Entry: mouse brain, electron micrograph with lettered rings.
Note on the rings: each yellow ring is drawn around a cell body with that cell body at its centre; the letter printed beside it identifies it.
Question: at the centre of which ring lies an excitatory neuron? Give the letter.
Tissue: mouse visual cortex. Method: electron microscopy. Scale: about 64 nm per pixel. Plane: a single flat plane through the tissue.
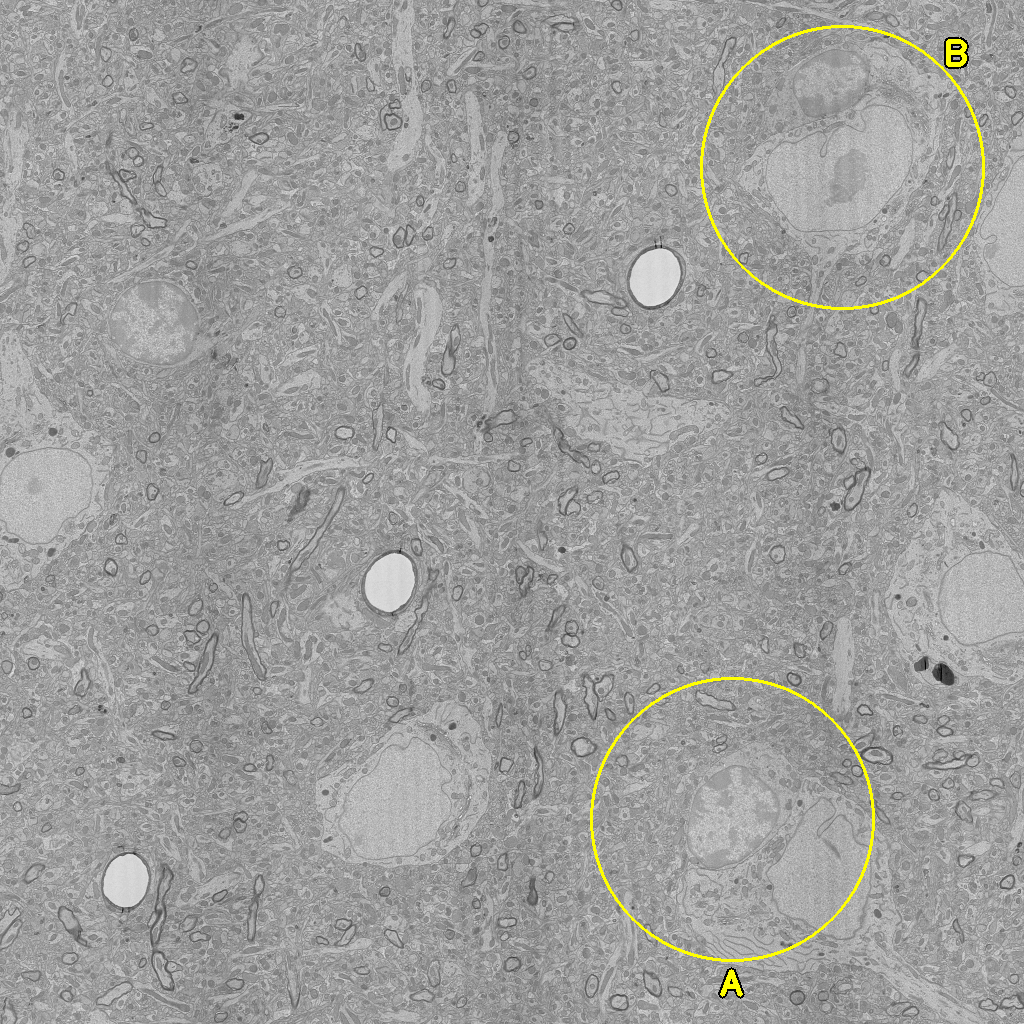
B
